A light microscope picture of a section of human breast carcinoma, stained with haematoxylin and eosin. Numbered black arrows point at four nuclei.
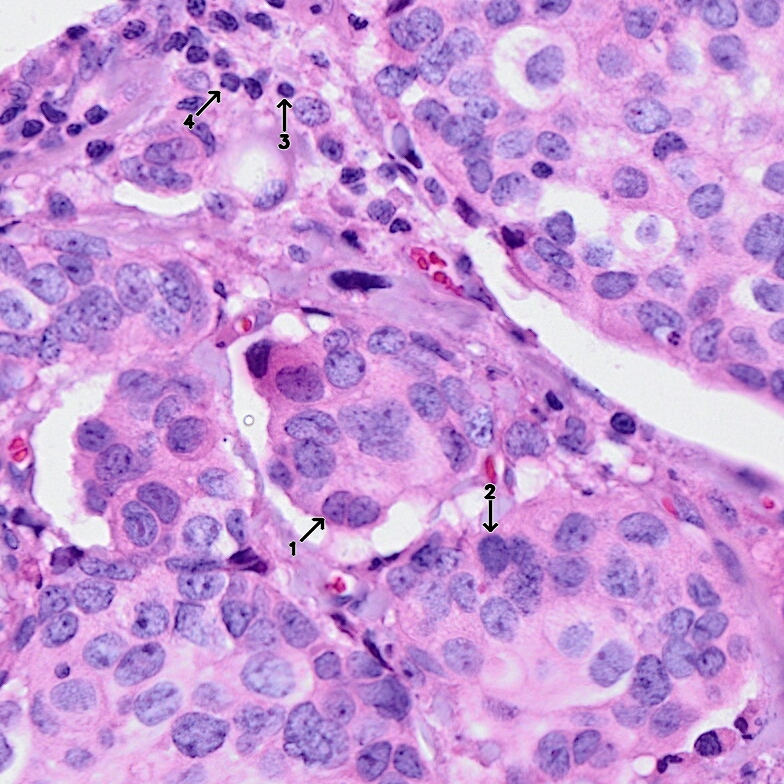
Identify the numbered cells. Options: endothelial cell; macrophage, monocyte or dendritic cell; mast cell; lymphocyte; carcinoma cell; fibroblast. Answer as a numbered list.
1. carcinoma cell
2. carcinoma cell
3. lymphocyte
4. lymphocyte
